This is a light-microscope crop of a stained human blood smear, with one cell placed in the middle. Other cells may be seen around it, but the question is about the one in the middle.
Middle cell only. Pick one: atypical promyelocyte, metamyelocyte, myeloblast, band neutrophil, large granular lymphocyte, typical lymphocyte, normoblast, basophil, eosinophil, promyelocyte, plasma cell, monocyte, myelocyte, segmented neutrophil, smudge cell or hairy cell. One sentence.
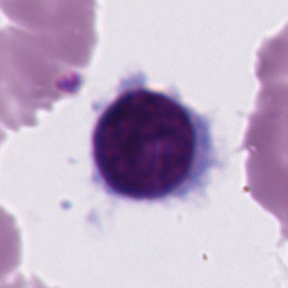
This crop is built around a hairy cell at its centre.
